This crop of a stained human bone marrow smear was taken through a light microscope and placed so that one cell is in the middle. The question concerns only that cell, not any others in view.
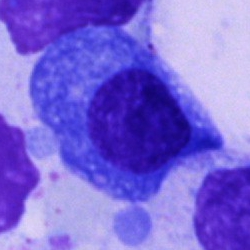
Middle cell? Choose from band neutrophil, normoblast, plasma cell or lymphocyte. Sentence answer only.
In the middle of this smear crop is a plasma cell.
